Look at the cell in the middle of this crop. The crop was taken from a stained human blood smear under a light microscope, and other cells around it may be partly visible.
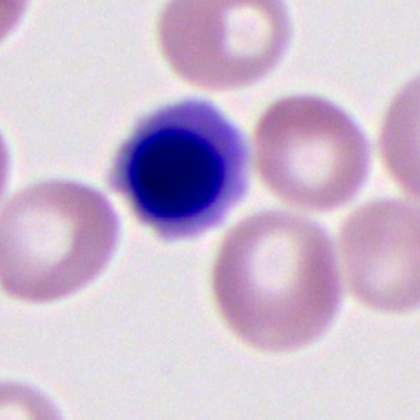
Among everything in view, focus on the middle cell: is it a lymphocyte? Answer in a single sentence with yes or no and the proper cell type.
No, it is not a lymphocyte that lies in the middle but a normoblast.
